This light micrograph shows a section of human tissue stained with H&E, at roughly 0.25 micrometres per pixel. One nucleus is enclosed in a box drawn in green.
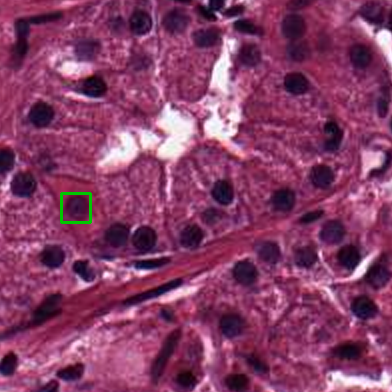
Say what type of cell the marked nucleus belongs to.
parietal cell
